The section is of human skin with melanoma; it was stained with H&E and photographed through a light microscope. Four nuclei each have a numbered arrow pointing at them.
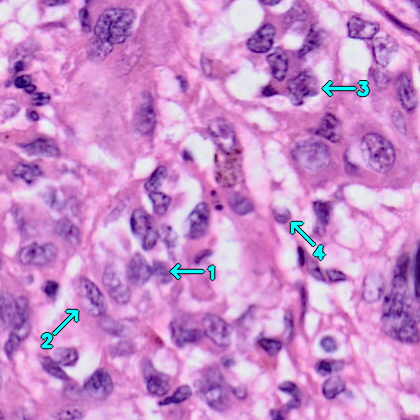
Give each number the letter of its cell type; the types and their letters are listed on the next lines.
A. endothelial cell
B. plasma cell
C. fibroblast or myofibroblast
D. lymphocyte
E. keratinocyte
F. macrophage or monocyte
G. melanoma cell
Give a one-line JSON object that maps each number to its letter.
{"1": "G", "2": "G", "3": "G", "4": "F"}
